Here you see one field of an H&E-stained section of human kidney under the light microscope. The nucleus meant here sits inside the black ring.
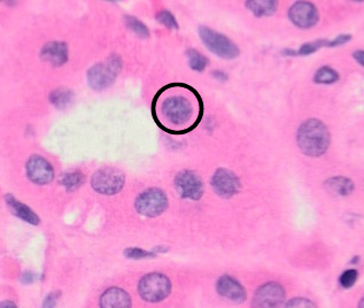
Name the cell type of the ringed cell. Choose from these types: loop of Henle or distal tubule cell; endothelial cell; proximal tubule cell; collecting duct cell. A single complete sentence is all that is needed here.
Within the stained tissue, the ringed cell is a loop of Henle or distal tubule cell.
